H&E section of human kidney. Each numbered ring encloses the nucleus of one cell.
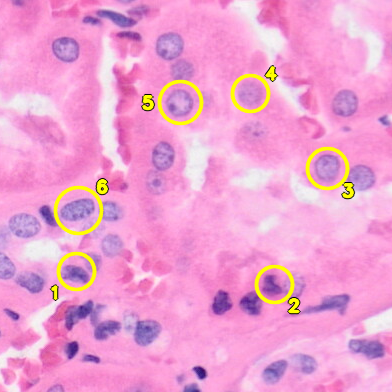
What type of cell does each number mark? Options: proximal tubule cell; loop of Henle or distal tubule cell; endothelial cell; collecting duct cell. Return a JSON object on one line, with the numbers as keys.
{"1": "collecting duct cell", "2": "proximal tubule cell", "3": "proximal tubule cell", "4": "proximal tubule cell", "5": "proximal tubule cell", "6": "collecting duct cell"}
